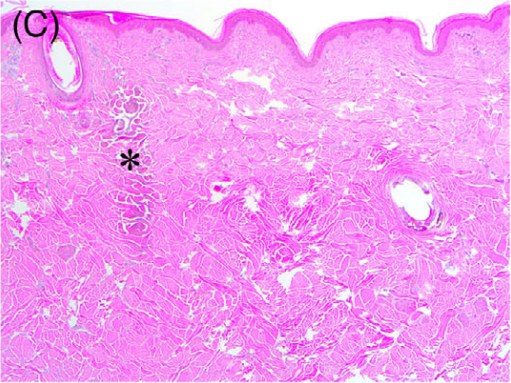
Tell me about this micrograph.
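This is skin at low magnification, with a thin, gently undulating epidermis over a broad dermis of pink, wavy collagen bundles. Cross-sections of hair follicles with their pale surrounding sheaths lie in the dermis. Scattered small clefts and spaces lie between the collagen bundles.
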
